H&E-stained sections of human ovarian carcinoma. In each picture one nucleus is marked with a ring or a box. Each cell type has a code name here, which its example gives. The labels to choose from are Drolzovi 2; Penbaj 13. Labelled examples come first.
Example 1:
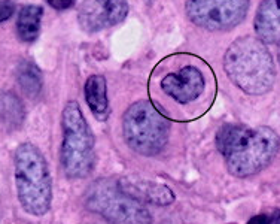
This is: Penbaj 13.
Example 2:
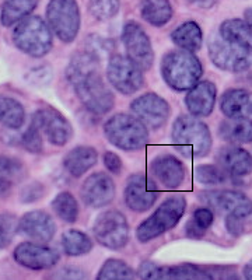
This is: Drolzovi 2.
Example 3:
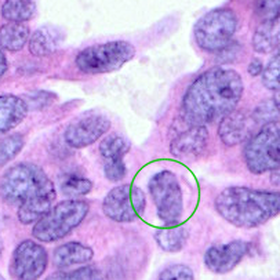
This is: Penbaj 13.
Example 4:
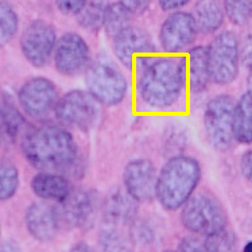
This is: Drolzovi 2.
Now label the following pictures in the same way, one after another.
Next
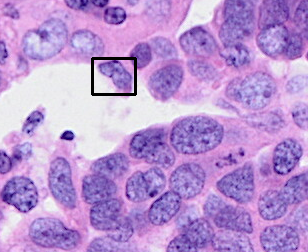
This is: Penbaj 13.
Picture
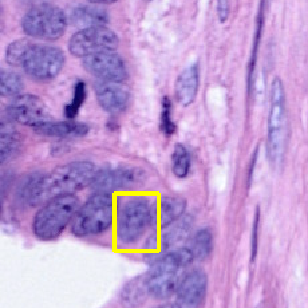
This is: Drolzovi 2.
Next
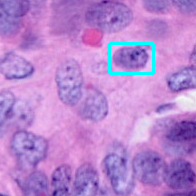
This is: Penbaj 13.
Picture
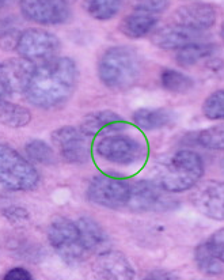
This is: Drolzovi 2.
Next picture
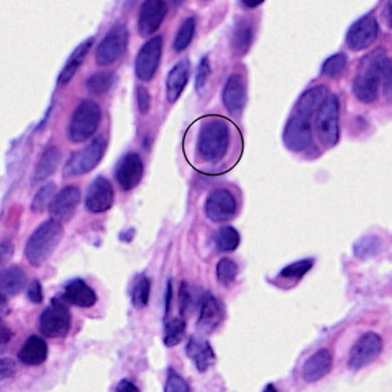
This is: Drolzovi 2.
